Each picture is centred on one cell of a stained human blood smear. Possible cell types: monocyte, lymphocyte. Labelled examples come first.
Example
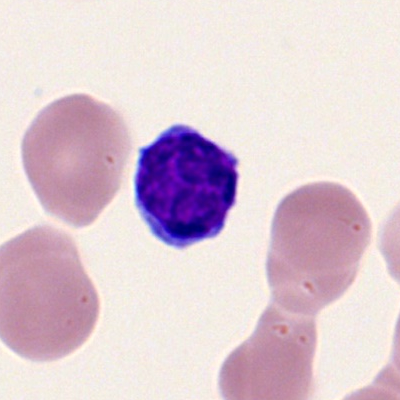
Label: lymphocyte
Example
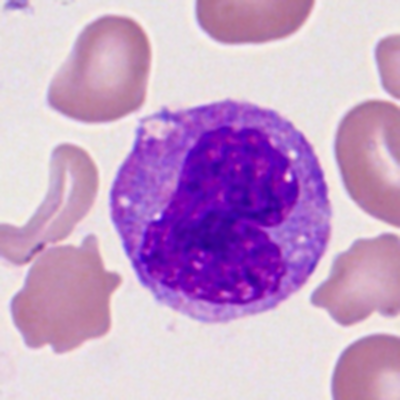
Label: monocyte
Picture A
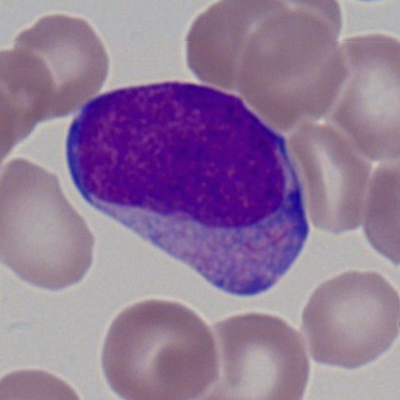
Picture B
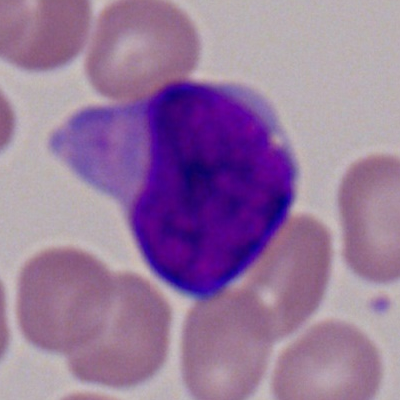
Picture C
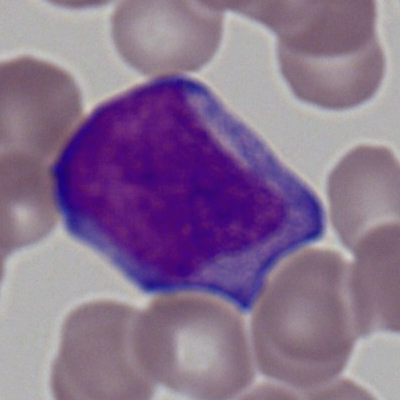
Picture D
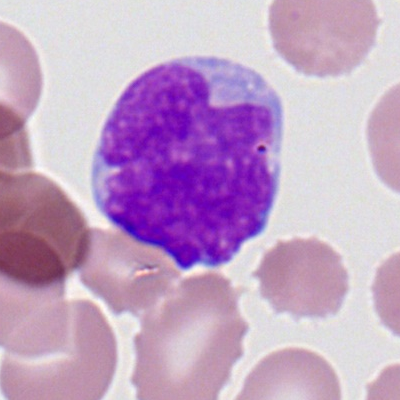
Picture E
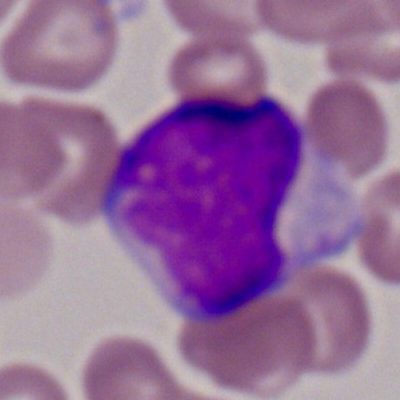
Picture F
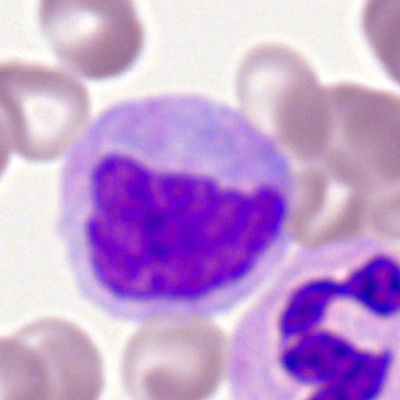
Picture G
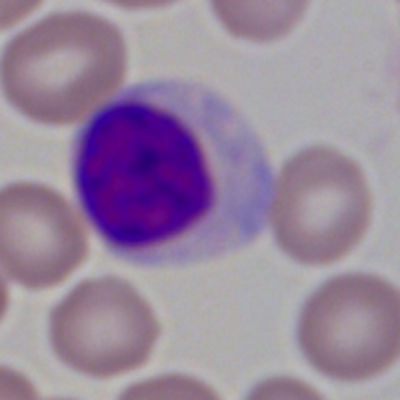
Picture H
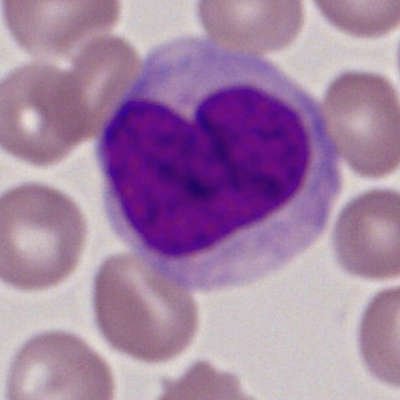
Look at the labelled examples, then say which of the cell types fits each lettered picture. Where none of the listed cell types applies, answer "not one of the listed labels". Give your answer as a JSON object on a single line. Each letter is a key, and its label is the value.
{"A": "not one of the listed labels", "B": "not one of the listed labels", "C": "not one of the listed labels", "D": "not one of the listed labels", "E": "not one of the listed labels", "F": "monocyte", "G": "lymphocyte", "H": "monocyte"}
